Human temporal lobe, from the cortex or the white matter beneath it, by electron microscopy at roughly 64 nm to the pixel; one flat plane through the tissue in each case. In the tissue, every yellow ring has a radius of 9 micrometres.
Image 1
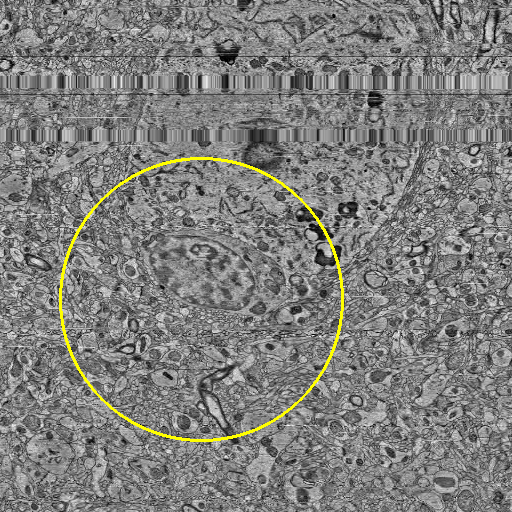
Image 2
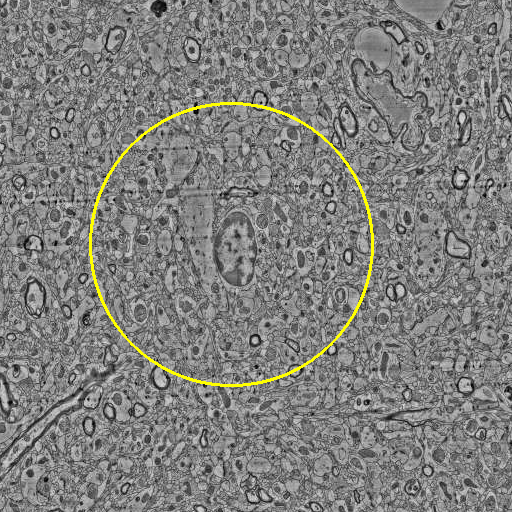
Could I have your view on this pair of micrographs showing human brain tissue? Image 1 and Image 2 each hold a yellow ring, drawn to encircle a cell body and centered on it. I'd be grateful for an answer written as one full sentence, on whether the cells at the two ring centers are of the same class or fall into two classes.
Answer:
The cells at the centers of the two rings fall into two classes.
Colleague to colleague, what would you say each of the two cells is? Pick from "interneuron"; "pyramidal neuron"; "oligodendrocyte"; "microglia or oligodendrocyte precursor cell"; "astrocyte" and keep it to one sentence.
The cell in the first picture is an oligodendrocyte; the second picture's cell is a microglial cell or oligodendrocyte precursor cell.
